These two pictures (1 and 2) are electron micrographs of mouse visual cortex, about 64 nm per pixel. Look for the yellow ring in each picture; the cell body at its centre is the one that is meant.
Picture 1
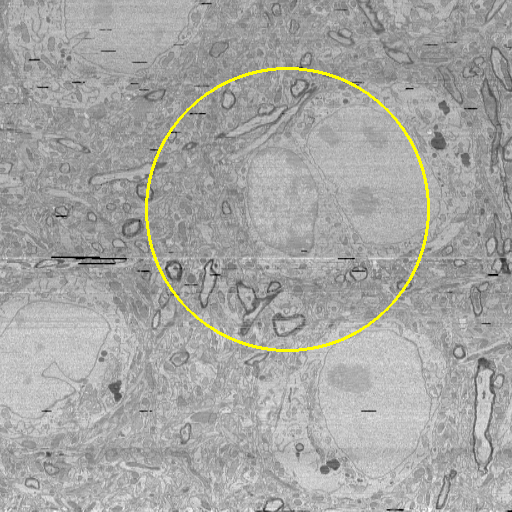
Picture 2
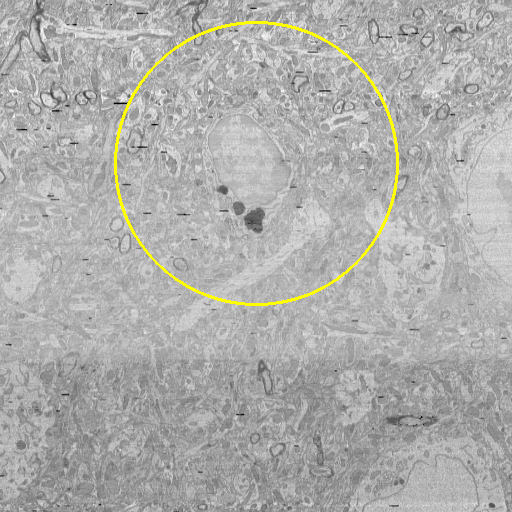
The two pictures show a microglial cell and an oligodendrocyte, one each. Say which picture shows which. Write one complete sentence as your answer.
Picture 1 is of an oligodendrocyte, and picture 2 is of a microglial cell.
